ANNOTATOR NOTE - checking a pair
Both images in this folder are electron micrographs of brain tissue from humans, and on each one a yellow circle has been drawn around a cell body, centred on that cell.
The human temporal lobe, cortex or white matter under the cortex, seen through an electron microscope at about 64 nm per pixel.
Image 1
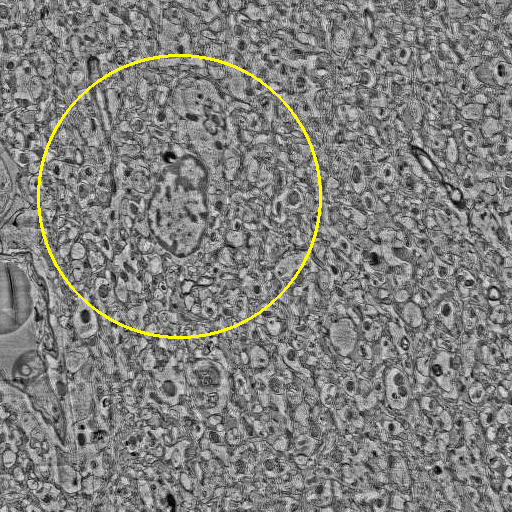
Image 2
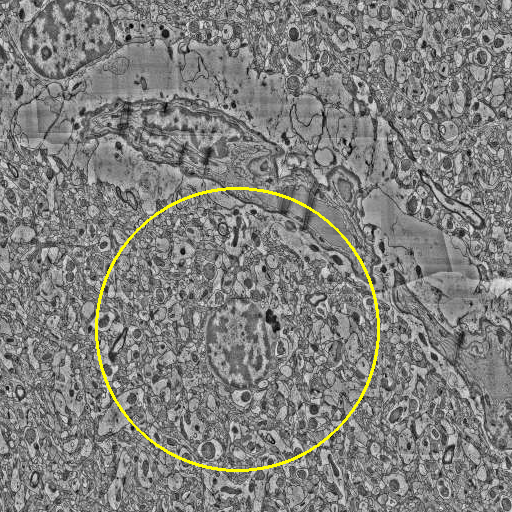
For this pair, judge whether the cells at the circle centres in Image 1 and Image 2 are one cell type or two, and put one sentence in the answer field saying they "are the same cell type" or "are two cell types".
For this pair, the cells at the circle centres in Images 1 and 2 are two cell types.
